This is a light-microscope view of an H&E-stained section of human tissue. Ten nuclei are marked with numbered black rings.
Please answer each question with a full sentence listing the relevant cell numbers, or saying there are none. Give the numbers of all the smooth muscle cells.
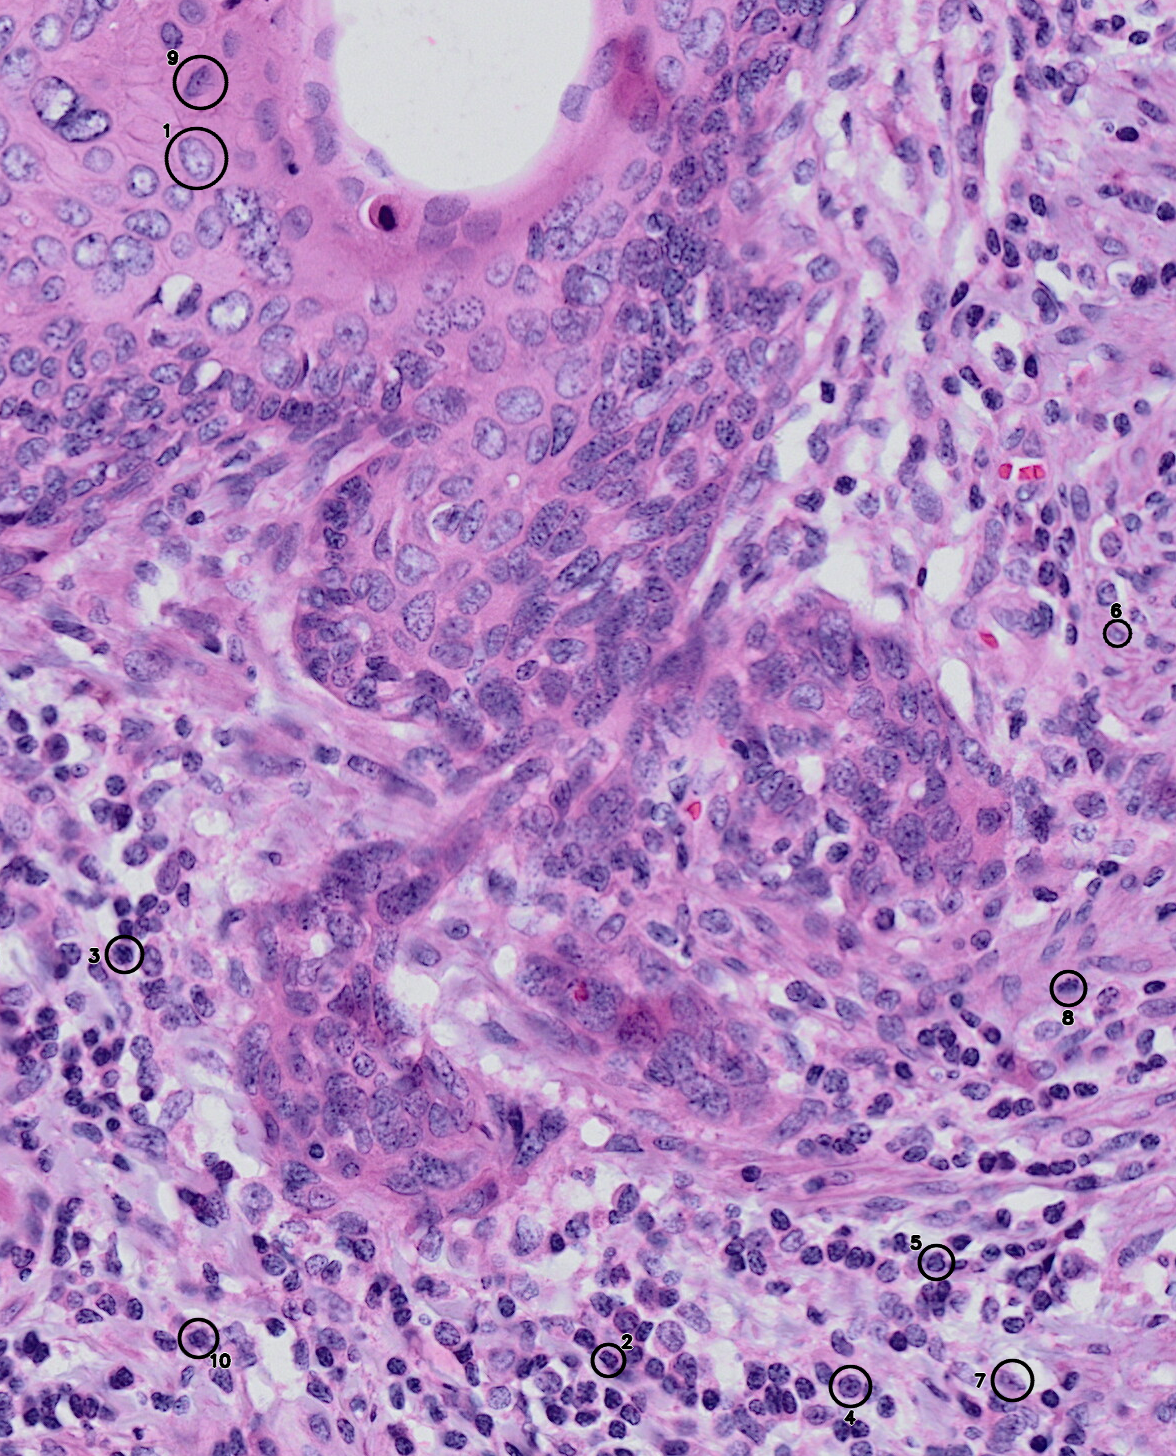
Among the labelled cells, only the cell labelled 6 is a smooth muscle cell.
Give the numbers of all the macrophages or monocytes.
The one cell that is a macrophage or monocyte is cell 7, and no other.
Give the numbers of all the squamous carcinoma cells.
The cells that have numbers 1 and 9 are squamous carcinoma cells.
